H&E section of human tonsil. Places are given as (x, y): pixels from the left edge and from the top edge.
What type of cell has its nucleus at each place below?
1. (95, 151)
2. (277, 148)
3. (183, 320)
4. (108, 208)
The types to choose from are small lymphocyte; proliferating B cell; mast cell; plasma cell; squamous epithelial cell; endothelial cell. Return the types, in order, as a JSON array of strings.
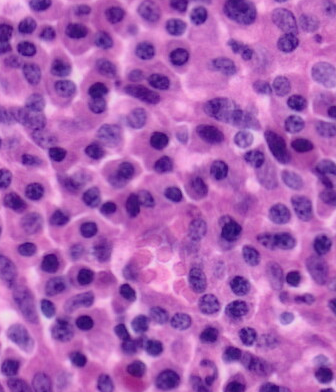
["plasma cell", "squamous epithelial cell", "plasma cell", "plasma cell"]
